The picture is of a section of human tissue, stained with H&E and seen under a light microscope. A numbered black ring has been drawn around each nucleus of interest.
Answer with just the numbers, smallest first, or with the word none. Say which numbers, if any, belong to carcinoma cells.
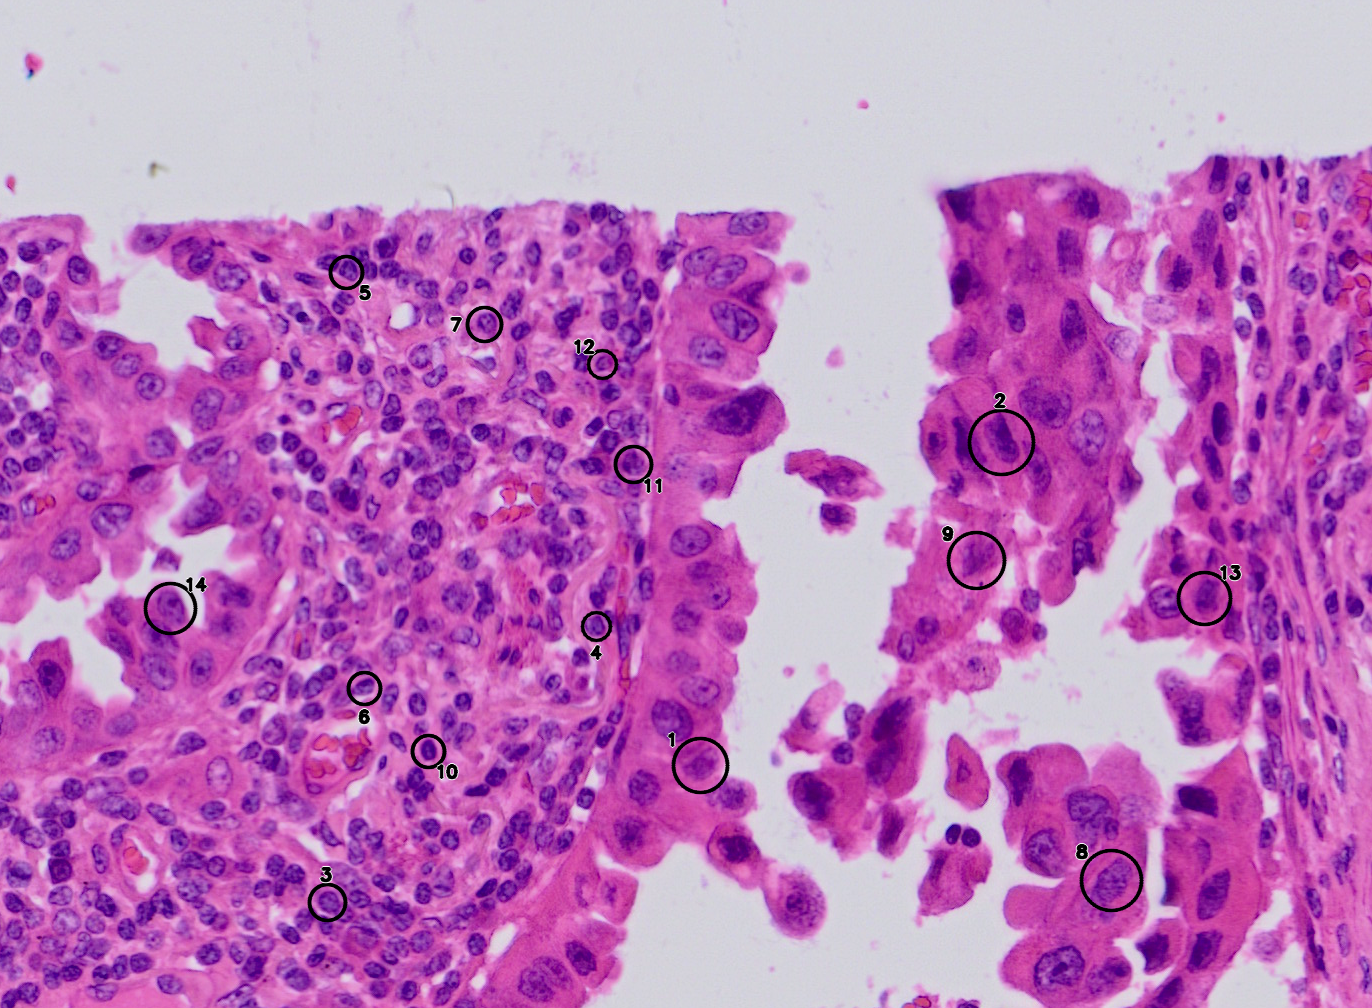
1, 2, 8, 9, 13, 14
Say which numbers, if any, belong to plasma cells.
7, 11, 12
